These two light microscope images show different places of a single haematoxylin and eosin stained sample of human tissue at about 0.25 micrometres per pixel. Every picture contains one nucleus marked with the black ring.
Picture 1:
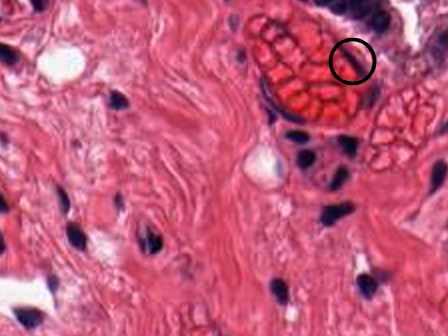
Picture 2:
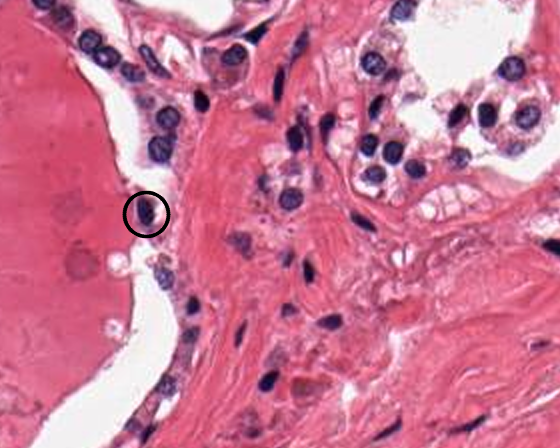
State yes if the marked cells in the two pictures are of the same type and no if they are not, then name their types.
No, the first is an endothelial cell and the second a thyroid follicular cell.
